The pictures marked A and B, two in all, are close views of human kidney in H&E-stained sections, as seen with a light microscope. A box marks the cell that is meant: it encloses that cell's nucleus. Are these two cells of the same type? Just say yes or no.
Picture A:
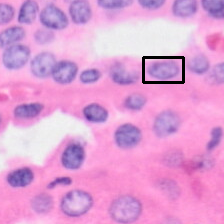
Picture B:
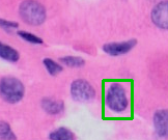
no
